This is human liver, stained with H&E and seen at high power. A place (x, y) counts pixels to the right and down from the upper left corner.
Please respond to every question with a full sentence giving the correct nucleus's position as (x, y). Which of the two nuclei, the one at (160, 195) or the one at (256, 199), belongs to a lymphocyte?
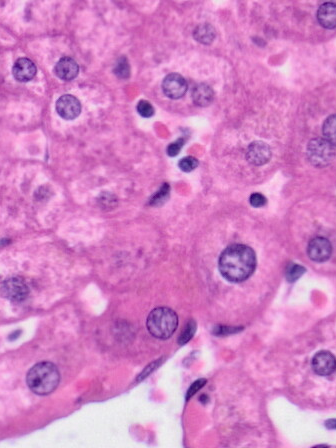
The one belonging to a lymphocyte is the nucleus at (256, 199), not the other.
